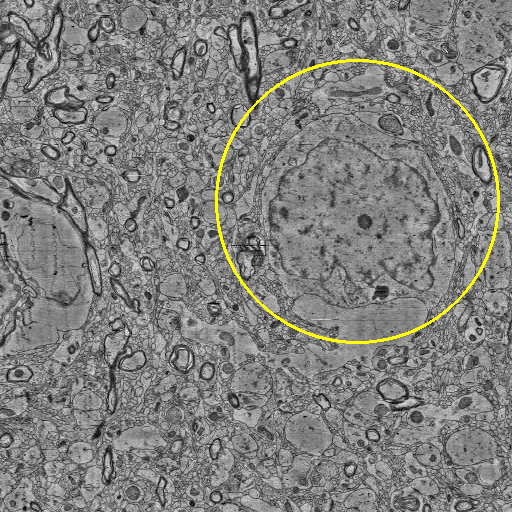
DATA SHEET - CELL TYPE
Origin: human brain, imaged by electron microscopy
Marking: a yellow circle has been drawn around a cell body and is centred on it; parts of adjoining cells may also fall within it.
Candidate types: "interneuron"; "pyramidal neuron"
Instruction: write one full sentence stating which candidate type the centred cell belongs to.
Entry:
The cell body at the centre of the yellow ring in this micrograph belongs to an interneuron.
